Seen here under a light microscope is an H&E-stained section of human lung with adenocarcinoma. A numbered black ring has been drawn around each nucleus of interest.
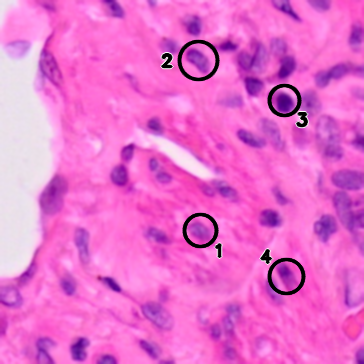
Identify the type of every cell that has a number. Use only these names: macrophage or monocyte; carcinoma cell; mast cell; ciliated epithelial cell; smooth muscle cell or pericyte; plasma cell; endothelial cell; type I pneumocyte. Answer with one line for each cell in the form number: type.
1: smooth muscle cell or pericyte
2: mast cell
3: plasma cell
4: smooth muscle cell or pericyte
